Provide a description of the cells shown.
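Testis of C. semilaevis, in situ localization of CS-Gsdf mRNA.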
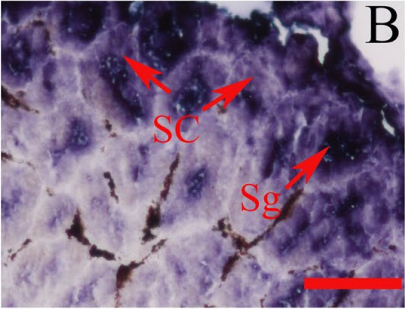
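The tissue is divided into many small rounded compartments, each holding a cluster of cells with darker purple dots at their centres. Pale, thin partitions run between the compartments, and thin brown pigment streaks branch through them. Larger, more darkly stained cells sit toward the edge of the section near the surface. The compartments are cysts of germ cells enclosed by Sertoli cells, with spermatogonia among them.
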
